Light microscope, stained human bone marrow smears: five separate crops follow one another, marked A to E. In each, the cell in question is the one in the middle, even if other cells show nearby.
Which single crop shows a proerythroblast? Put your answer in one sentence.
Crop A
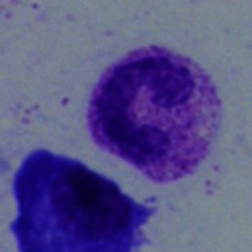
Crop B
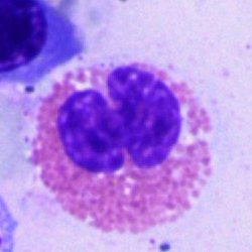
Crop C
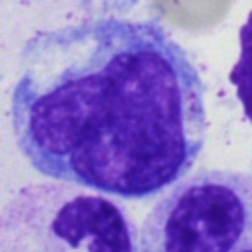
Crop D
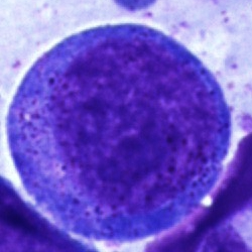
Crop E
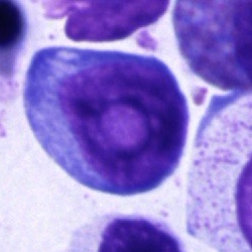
Crop E represents a proerythroblast, while the other crops do not.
